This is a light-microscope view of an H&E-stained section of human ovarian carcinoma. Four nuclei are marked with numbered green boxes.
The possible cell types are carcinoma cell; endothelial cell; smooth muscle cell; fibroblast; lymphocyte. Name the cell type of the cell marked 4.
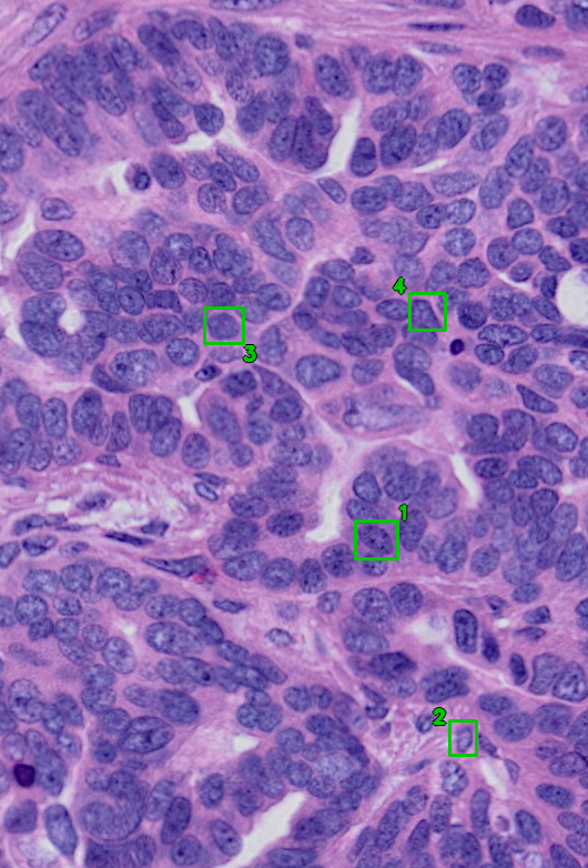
carcinoma cell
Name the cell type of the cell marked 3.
carcinoma cell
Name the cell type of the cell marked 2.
fibroblast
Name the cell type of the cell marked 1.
carcinoma cell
